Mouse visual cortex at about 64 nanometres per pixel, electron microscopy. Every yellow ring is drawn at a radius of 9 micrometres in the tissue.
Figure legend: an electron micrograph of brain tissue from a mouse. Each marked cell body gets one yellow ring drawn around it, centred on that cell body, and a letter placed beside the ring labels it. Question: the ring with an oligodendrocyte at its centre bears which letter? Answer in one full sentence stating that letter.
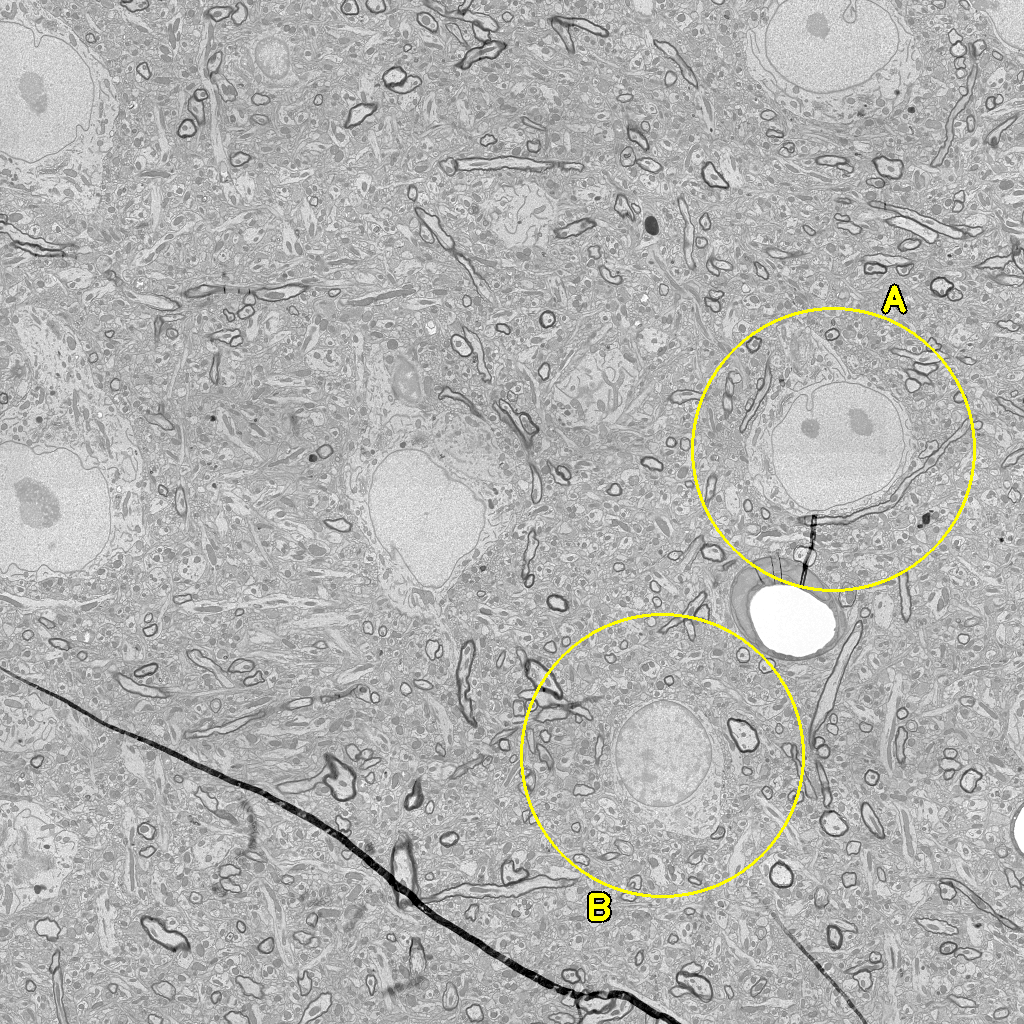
Labelled B is the ring whose centre holds the cell asked for in this picture.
